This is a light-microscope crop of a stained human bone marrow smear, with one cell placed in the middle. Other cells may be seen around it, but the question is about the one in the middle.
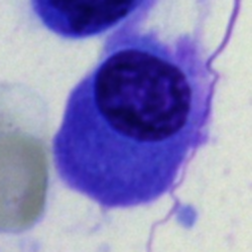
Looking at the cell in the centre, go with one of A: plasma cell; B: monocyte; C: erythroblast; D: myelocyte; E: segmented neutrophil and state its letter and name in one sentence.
The cell in the middle is a plasma cell, so option A is correct.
